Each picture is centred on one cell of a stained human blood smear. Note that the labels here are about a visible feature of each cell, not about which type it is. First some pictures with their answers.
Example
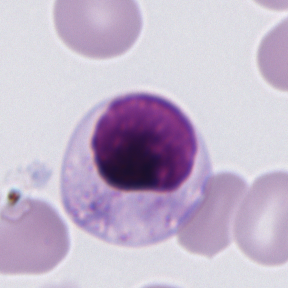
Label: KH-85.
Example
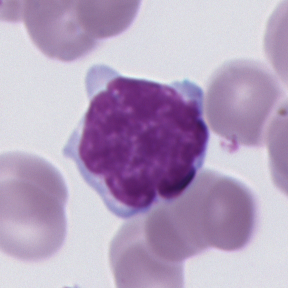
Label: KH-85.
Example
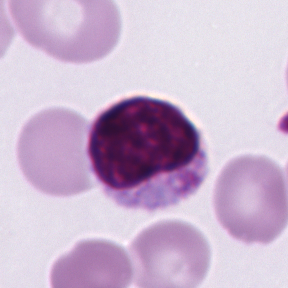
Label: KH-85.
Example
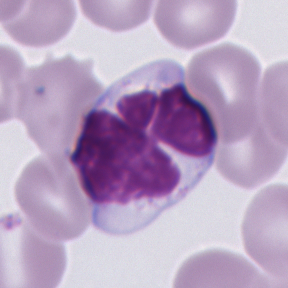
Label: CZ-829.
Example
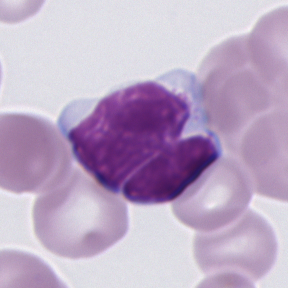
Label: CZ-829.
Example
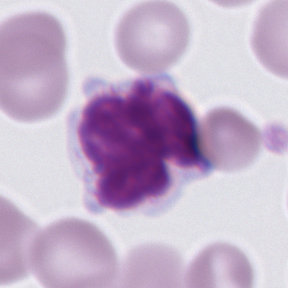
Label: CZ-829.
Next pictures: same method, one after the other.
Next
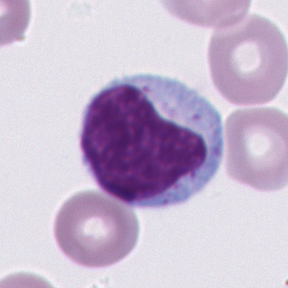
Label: KH-85.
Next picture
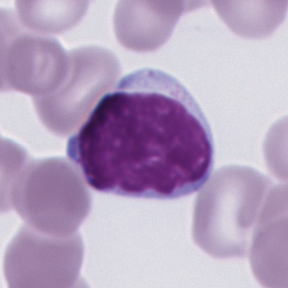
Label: KH-85.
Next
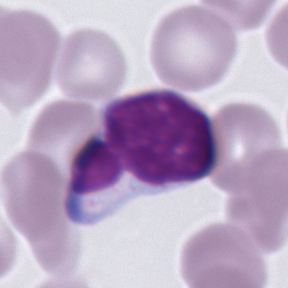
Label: CZ-829.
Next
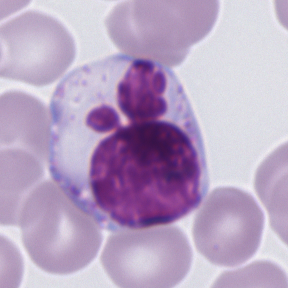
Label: CZ-829.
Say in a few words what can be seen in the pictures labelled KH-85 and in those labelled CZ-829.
KH-85, single compact nucleus; CZ-829, lobed nucleus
